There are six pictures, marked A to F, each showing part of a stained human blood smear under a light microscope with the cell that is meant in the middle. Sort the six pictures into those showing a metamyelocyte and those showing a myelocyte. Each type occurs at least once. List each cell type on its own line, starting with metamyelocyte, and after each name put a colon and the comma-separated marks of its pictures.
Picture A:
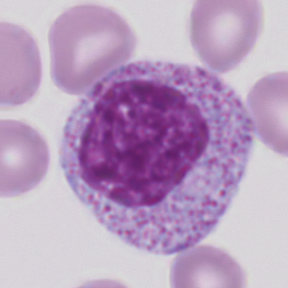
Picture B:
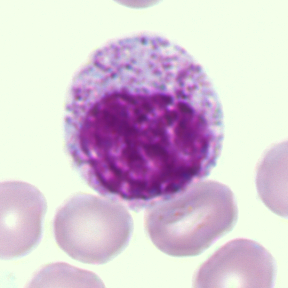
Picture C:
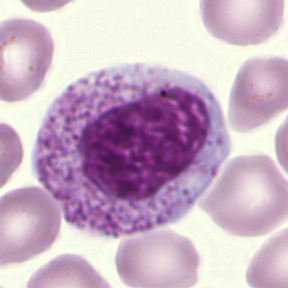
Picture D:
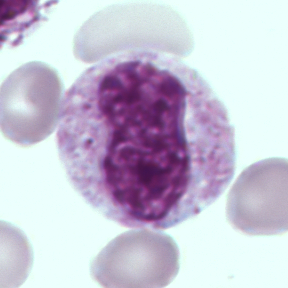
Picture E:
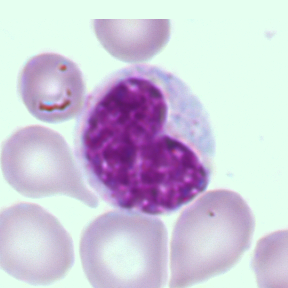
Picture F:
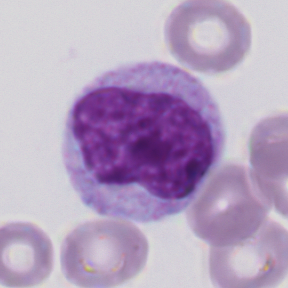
metamyelocyte: D, E
myelocyte: A, B, C, F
